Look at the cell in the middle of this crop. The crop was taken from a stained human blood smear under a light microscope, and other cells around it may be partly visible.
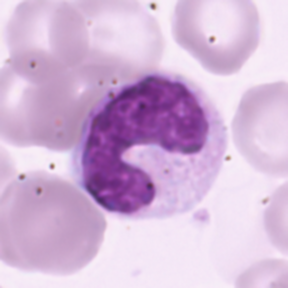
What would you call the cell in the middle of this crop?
band neutrophil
